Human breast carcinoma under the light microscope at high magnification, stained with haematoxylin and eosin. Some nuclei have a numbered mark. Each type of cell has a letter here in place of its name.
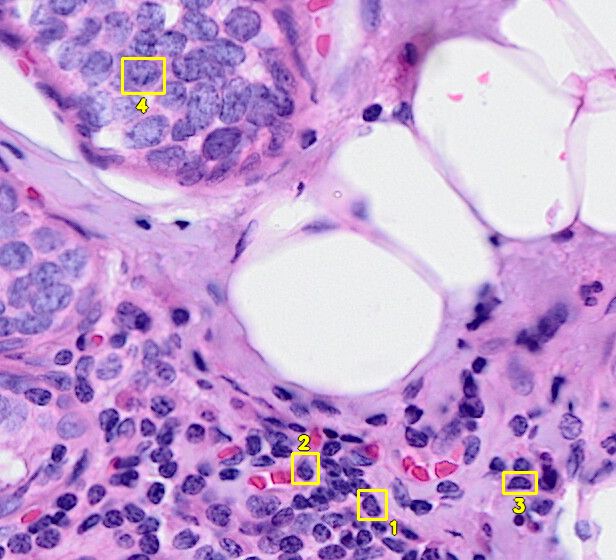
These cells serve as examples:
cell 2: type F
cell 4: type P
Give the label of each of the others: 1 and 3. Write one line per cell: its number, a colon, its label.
1: type F
3: type F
